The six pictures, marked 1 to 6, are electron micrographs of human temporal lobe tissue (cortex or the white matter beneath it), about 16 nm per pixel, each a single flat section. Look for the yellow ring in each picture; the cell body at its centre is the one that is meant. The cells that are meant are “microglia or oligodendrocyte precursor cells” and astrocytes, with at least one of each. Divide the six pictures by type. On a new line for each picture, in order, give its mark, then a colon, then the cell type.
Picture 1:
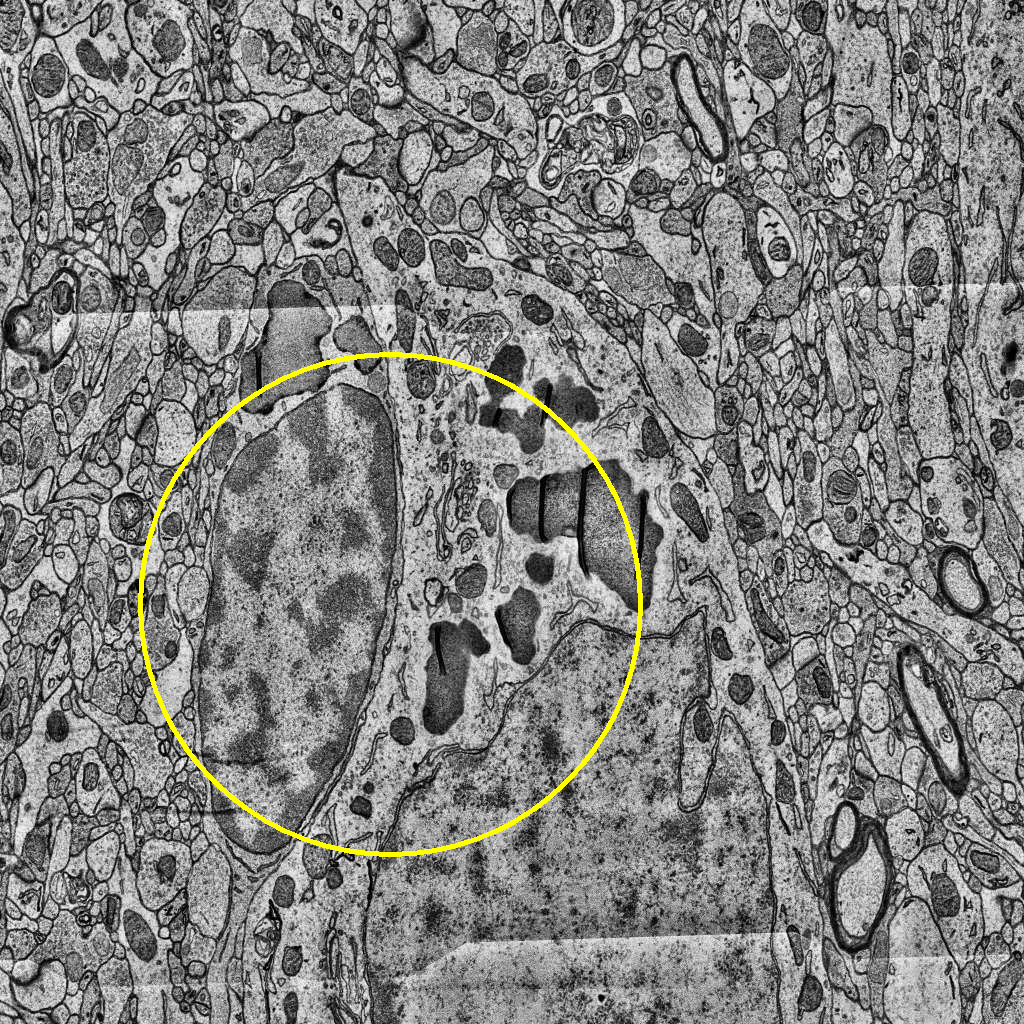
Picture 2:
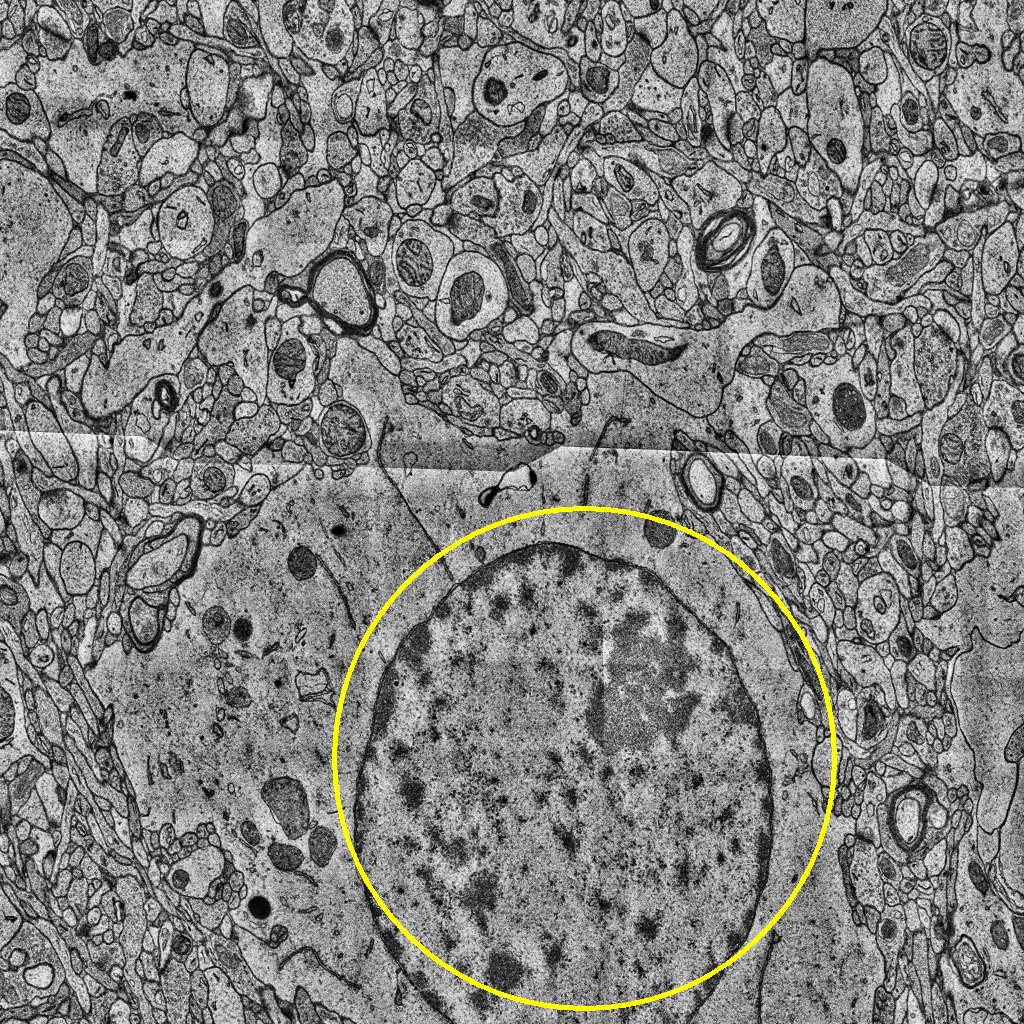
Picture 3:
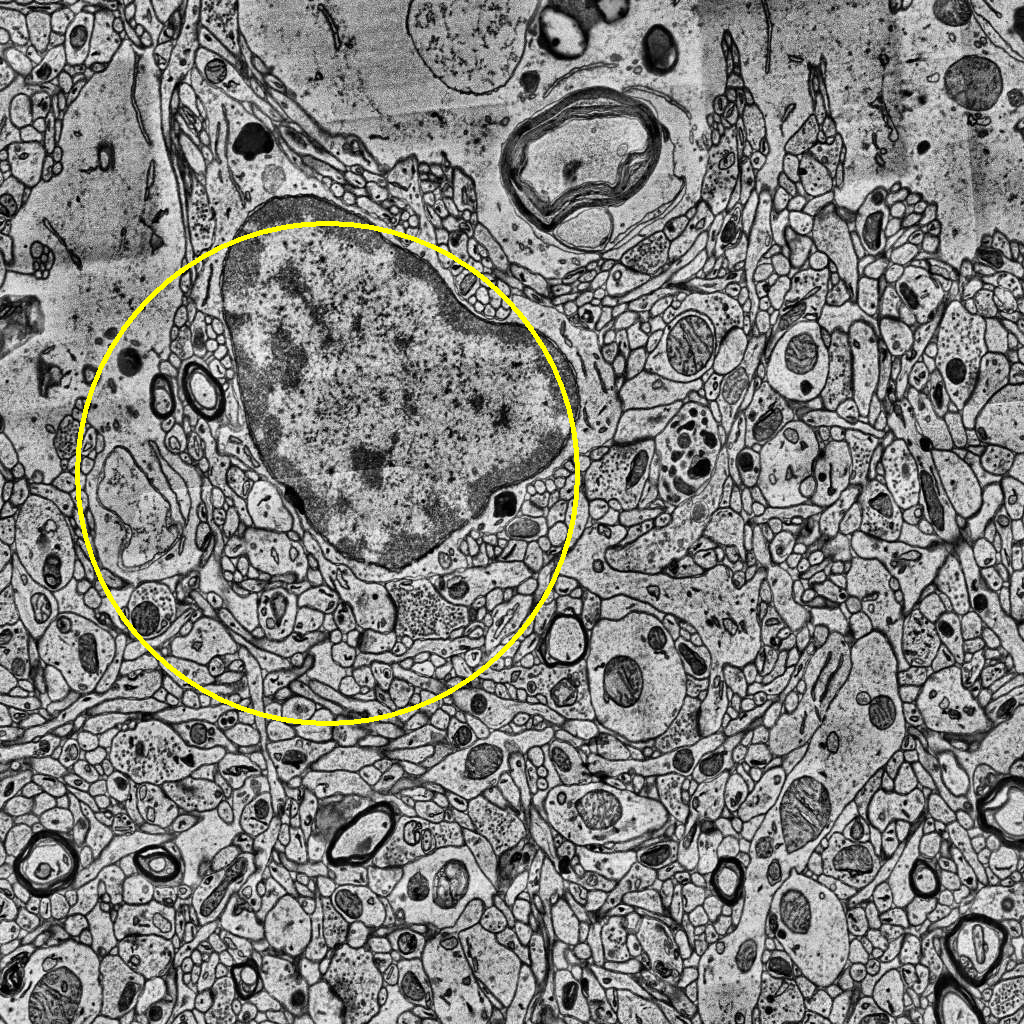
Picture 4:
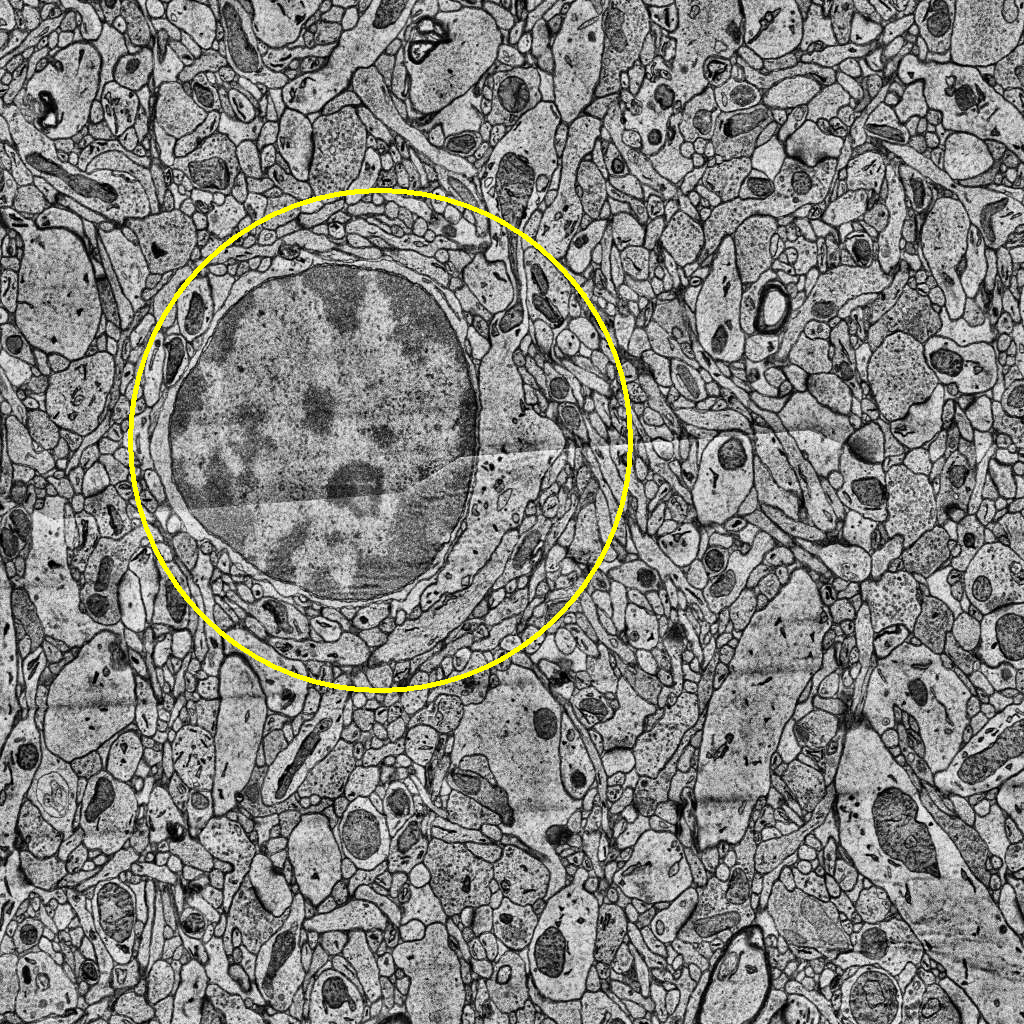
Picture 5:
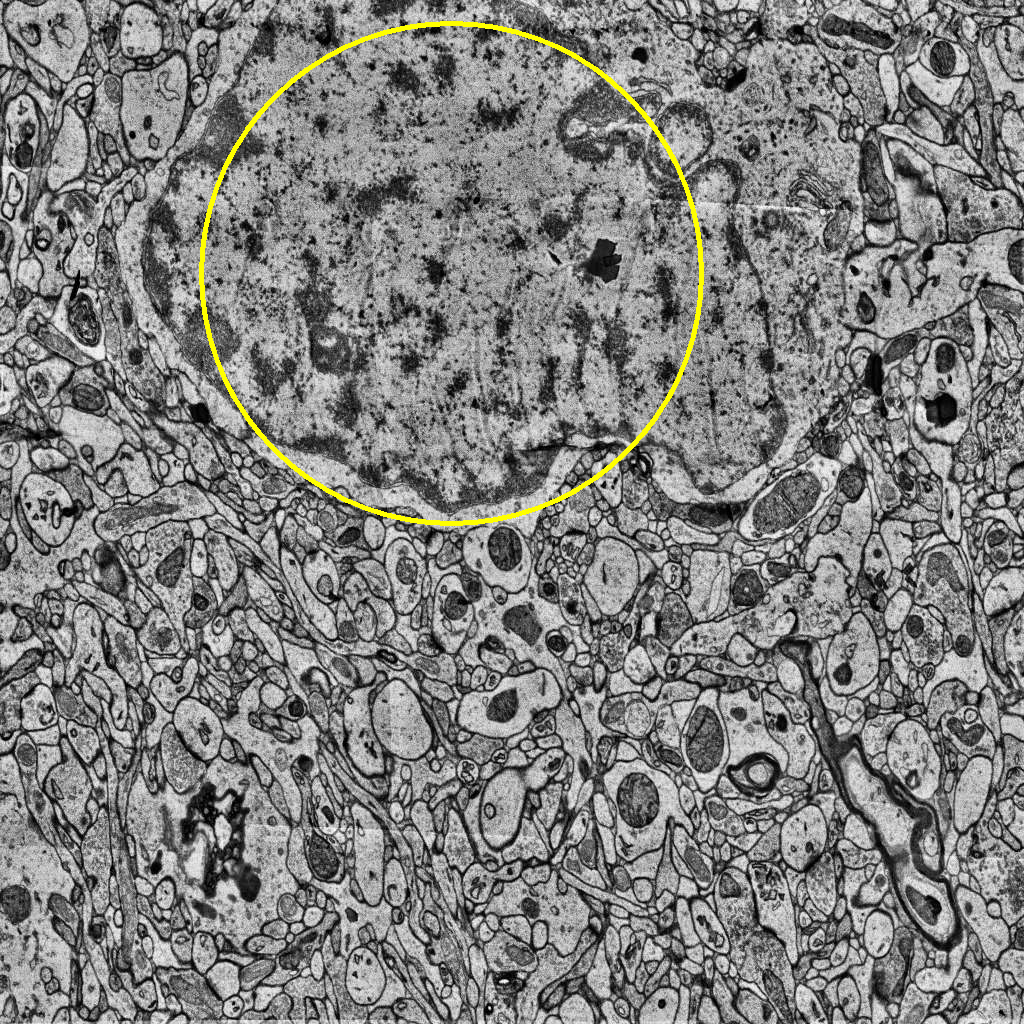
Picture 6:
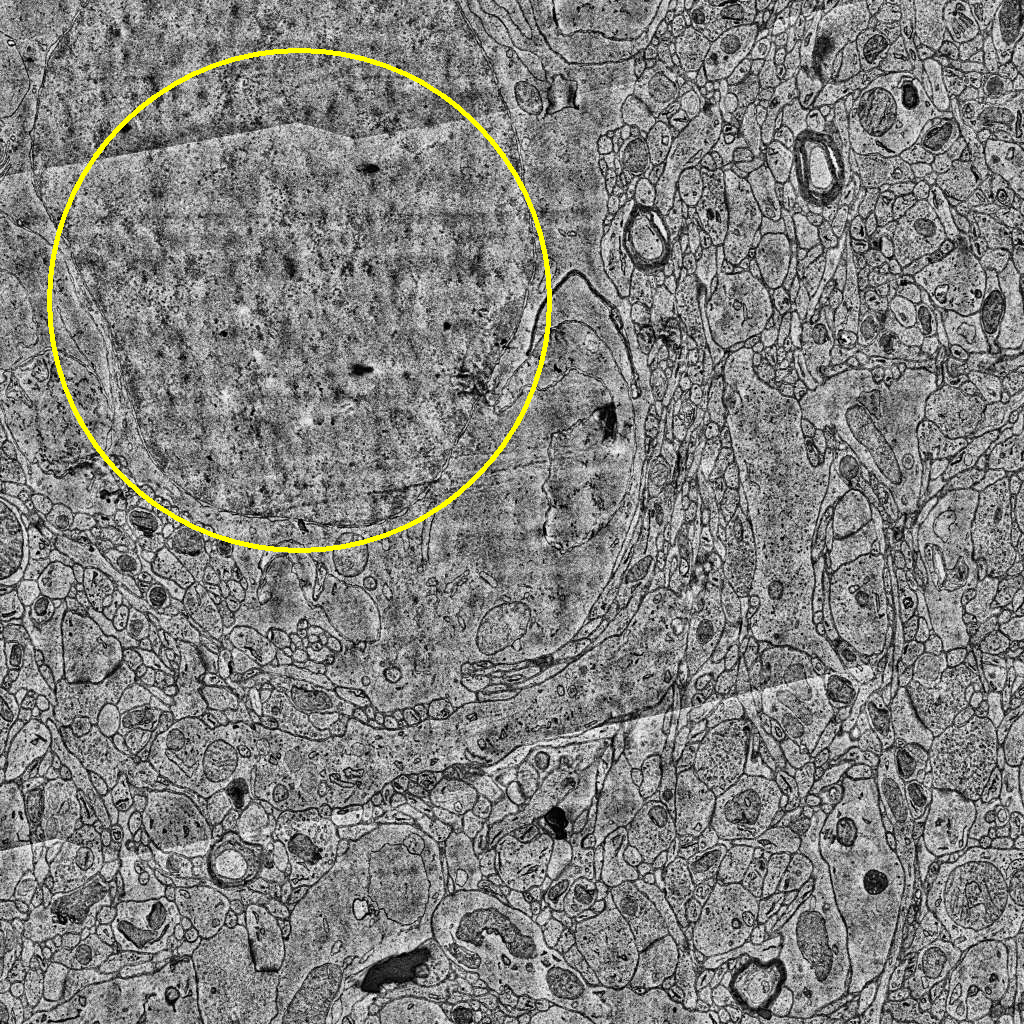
1: microglia or oligodendrocyte precursor cell
2: astrocyte
3: microglia or oligodendrocyte precursor cell
4: microglia or oligodendrocyte precursor cell
5: microglia or oligodendrocyte precursor cell
6: astrocyte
